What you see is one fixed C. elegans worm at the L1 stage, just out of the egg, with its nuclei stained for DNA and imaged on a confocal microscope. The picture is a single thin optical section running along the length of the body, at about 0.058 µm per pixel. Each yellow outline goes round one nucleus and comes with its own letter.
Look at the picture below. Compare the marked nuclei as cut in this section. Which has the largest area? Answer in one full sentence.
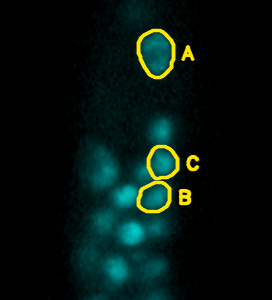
Nucleus A covers the most area here.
